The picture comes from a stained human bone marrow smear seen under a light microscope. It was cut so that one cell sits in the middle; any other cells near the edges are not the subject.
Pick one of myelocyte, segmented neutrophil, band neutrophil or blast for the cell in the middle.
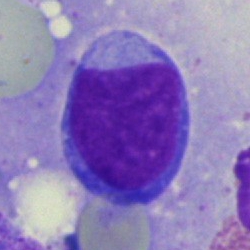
blast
